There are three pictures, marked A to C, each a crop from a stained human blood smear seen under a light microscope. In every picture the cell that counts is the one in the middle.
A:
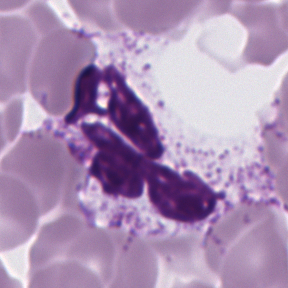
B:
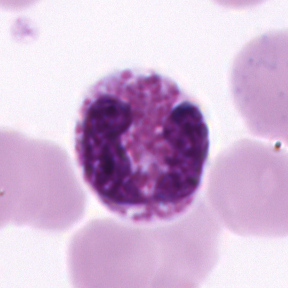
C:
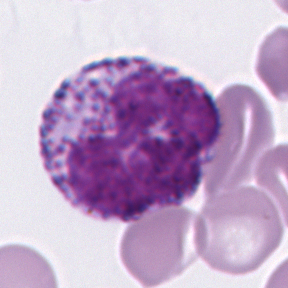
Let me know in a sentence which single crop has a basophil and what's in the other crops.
Crop C shows a basophil in its middle, while crop A is a segmented neutrophil and crop B is an eosinophil.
